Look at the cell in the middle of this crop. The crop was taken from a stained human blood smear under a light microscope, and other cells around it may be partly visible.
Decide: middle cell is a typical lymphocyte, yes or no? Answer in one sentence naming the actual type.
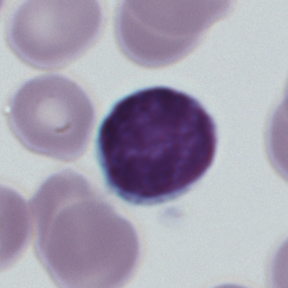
Yes, the cell of interest in the centre is a typical lymphocyte.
